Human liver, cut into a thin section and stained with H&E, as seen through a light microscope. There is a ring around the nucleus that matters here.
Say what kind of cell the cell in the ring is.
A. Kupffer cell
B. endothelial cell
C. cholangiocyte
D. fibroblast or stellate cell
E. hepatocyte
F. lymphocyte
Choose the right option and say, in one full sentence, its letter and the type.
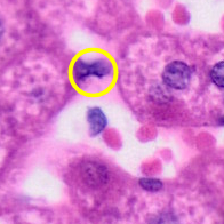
The correct option is B, as the cell in the ring is an endothelial cell.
